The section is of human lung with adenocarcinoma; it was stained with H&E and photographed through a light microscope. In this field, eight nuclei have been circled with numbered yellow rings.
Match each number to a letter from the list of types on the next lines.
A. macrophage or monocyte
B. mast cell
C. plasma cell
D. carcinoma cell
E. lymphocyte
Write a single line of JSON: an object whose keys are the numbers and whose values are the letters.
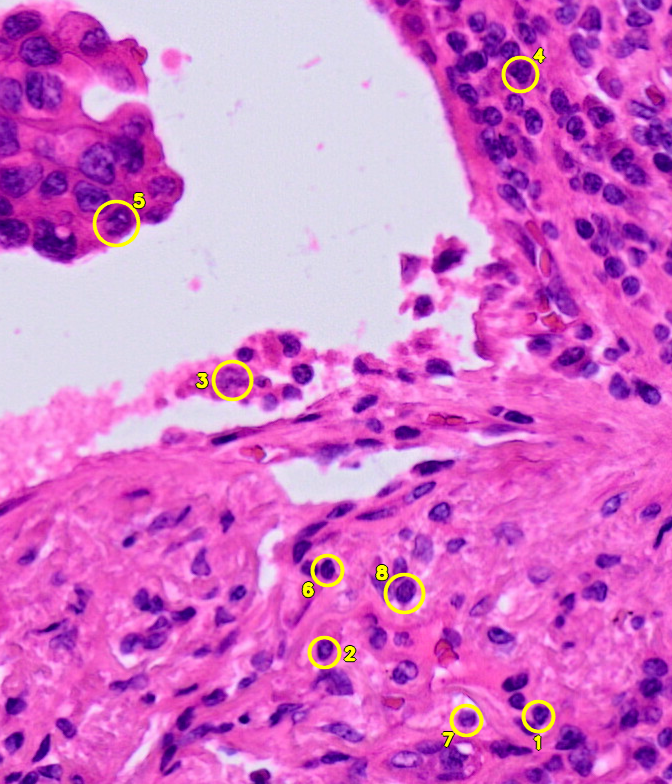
{"1": "E", "2": "B", "3": "A", "4": "C", "5": "D", "6": "E", "7": "E", "8": "E"}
